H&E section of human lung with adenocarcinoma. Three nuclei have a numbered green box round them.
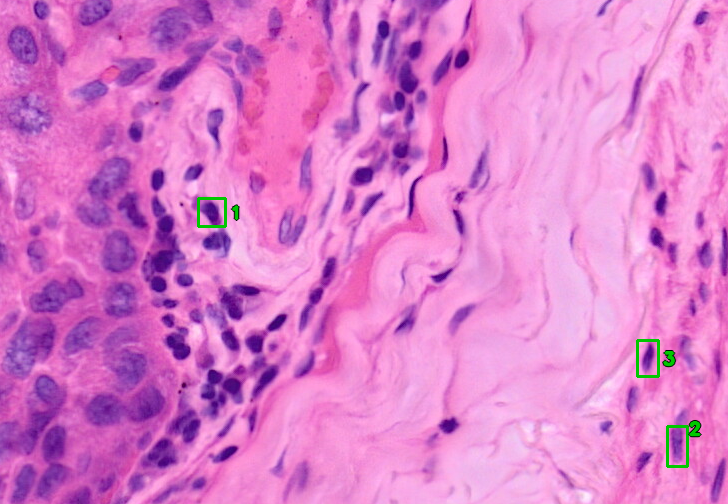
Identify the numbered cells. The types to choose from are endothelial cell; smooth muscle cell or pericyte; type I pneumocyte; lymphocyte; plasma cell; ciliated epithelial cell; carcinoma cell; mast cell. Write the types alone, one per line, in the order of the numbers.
plasma cell
smooth muscle cell or pericyte
smooth muscle cell or pericyte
